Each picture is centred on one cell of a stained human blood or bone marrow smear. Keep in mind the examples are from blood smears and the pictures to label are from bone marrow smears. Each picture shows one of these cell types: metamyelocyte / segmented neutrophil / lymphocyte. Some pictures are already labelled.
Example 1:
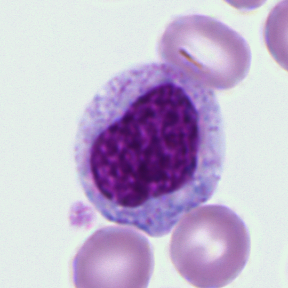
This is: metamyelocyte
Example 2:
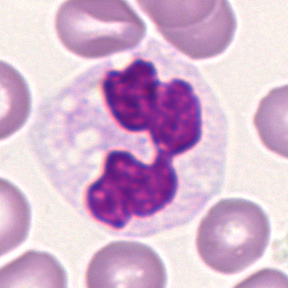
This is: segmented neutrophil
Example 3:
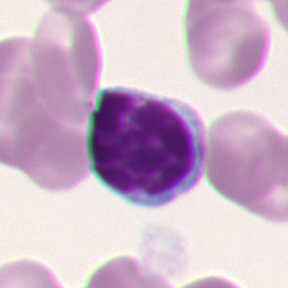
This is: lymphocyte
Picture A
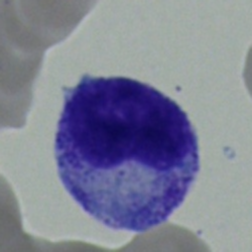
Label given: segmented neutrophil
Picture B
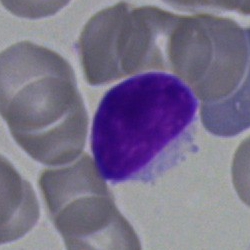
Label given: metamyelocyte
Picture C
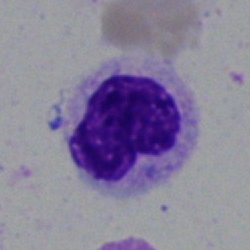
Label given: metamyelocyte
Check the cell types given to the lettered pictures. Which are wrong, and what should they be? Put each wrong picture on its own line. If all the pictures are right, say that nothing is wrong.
A should be metamyelocyte, not segmented neutrophil
B should be lymphocyte, not metamyelocyte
